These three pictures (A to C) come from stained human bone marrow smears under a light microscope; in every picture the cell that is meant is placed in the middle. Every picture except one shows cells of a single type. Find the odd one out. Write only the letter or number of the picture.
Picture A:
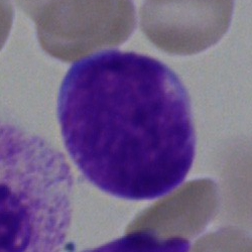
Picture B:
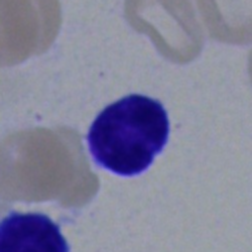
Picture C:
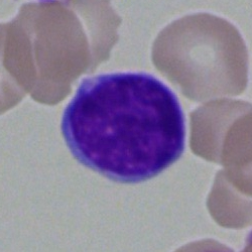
A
